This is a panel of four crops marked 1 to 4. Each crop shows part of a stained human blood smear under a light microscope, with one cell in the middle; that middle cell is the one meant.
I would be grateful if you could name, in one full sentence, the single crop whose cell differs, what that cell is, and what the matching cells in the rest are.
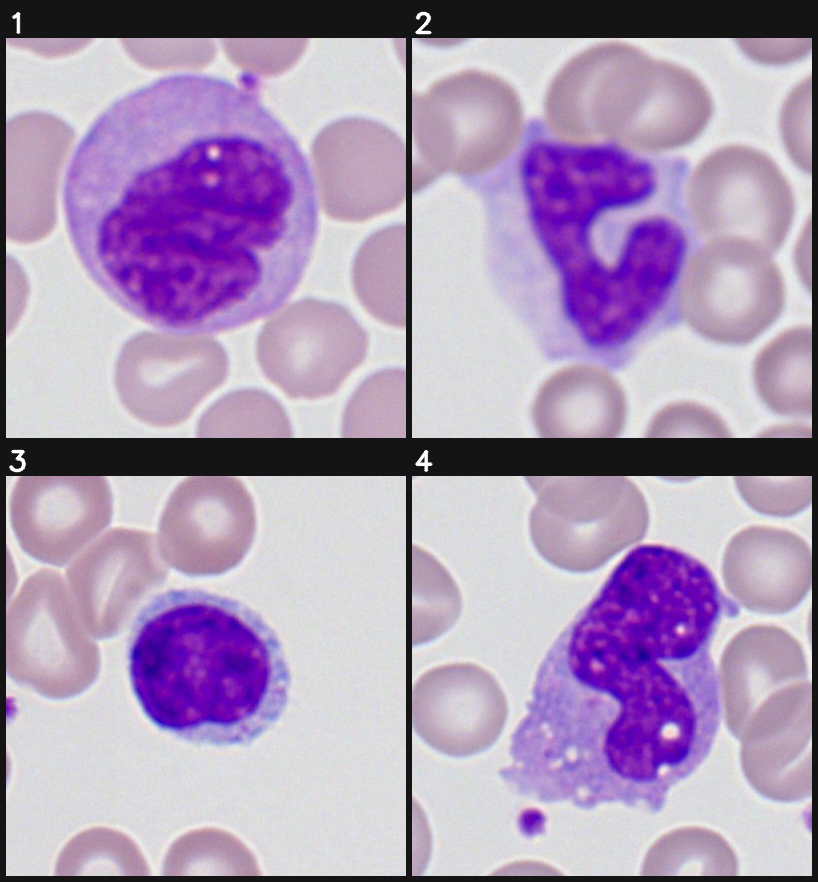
Only one crop differs, namely crop 3, which is a lymphocyte; the others show monocytes.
